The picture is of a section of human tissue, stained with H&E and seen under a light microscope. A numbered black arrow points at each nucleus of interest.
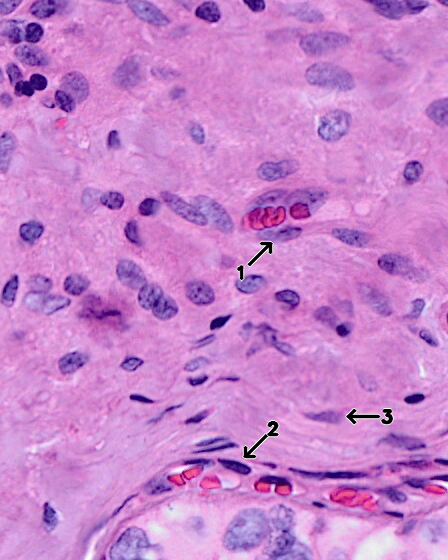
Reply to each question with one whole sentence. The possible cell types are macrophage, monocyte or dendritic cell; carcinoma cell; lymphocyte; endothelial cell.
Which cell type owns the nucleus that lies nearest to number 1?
Number 1 lies closest to the nucleus of an endothelial cell.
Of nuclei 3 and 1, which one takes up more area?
Nucleus 1 covers more area, about 1.5 times as much as nucleus 3.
